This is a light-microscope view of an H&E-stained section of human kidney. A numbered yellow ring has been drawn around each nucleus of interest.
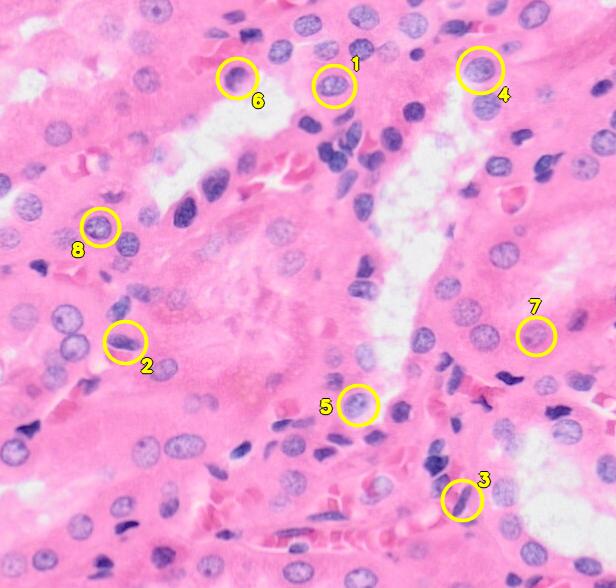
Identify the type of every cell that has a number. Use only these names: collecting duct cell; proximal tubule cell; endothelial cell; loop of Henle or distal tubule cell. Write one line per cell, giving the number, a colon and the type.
1: loop of Henle or distal tubule cell
2: endothelial cell
3: endothelial cell
4: loop of Henle or distal tubule cell
5: loop of Henle or distal tubule cell
6: loop of Henle or distal tubule cell
7: proximal tubule cell
8: loop of Henle or distal tubule cell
